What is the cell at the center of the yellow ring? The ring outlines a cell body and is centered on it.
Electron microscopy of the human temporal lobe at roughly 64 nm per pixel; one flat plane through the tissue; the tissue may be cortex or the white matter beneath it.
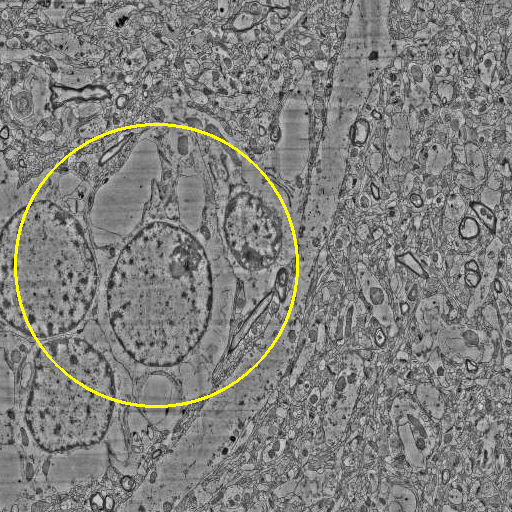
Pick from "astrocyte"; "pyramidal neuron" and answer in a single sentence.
The yellow ring is centered on an astrocyte.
